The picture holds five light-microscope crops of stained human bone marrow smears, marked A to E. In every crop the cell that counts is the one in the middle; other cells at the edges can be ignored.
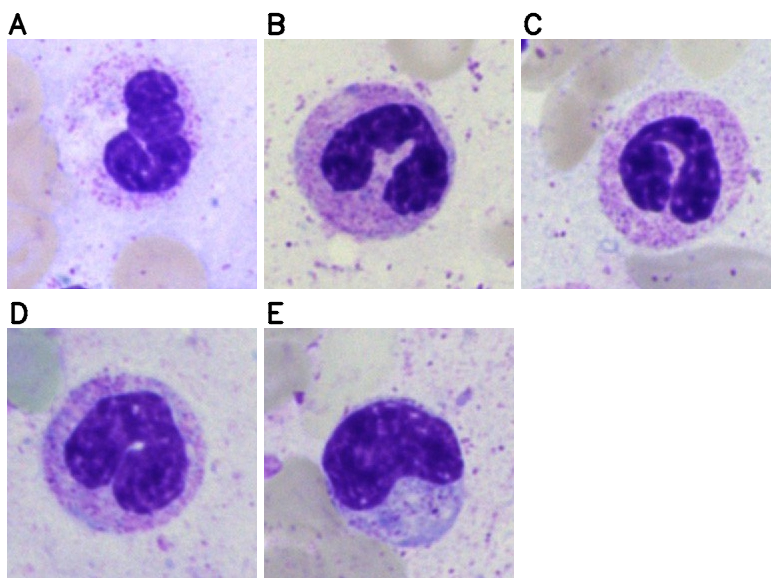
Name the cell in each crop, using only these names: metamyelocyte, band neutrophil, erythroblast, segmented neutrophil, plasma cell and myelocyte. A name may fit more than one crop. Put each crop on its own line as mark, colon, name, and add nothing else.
A: segmented neutrophil
B: segmented neutrophil
C: segmented neutrophil
D: band neutrophil
E: metamyelocyte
